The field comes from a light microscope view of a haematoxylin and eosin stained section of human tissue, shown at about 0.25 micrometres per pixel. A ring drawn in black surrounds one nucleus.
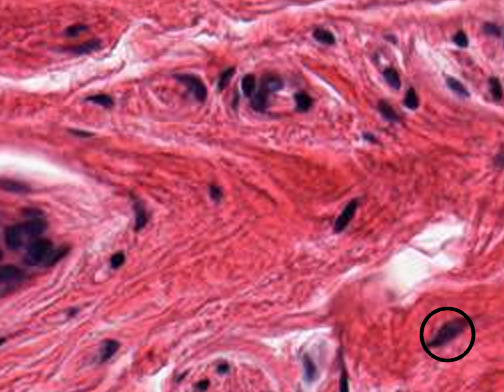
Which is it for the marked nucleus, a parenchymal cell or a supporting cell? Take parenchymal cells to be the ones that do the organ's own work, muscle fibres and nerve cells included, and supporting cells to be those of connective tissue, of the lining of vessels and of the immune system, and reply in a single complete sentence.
Held by a supporting cell is the marked nucleus in this section.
